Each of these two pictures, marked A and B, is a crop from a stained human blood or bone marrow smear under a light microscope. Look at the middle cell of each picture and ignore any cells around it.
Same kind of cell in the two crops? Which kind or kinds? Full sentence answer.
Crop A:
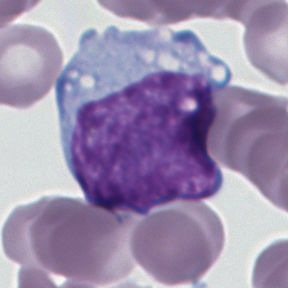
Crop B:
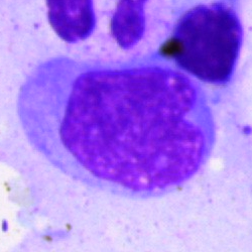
No, shown in crop A is a blast, and shown in crop B is a monocyte.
